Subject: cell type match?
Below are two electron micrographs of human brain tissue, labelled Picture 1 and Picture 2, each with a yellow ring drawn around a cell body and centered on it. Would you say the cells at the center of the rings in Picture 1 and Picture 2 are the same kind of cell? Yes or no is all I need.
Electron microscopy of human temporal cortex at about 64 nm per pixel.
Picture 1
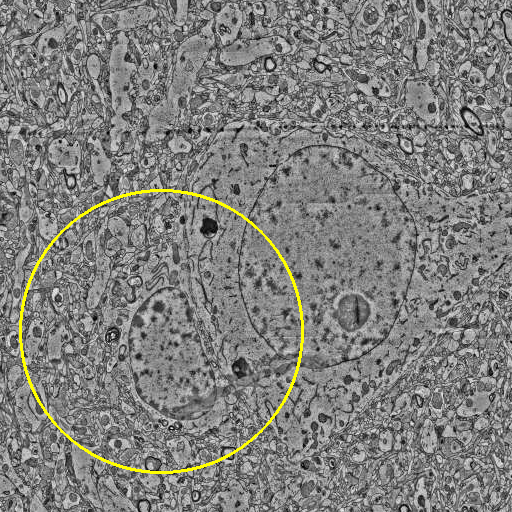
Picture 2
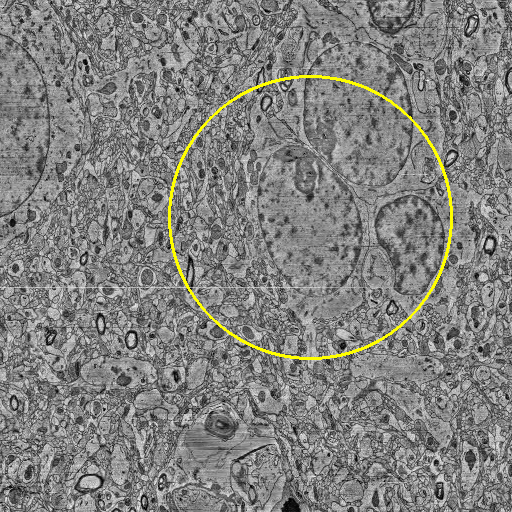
yes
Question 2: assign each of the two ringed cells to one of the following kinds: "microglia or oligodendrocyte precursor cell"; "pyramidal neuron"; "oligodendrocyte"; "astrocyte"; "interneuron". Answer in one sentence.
In each picture the ringed cell is an astrocyte.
